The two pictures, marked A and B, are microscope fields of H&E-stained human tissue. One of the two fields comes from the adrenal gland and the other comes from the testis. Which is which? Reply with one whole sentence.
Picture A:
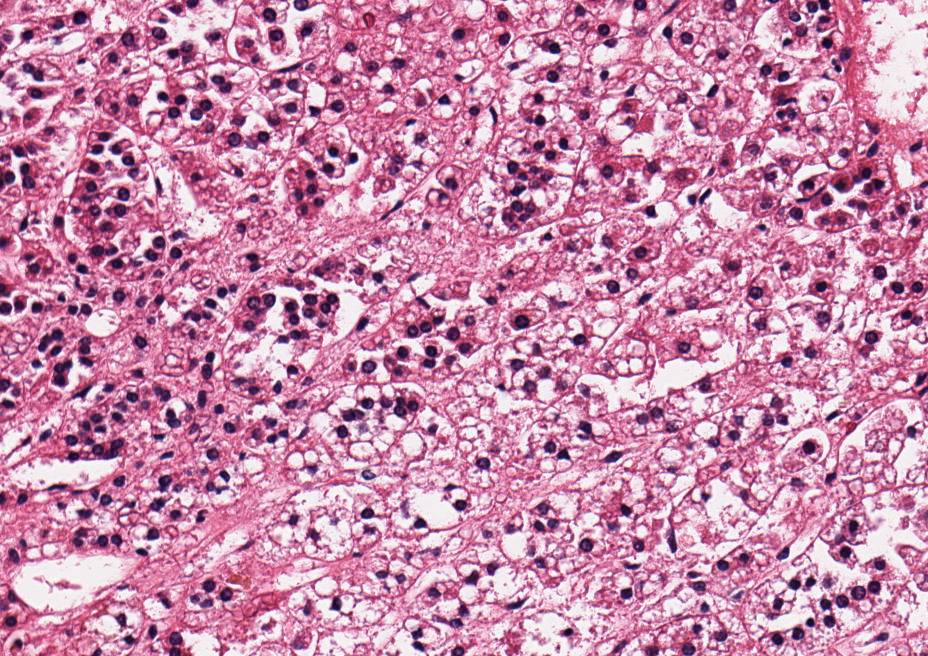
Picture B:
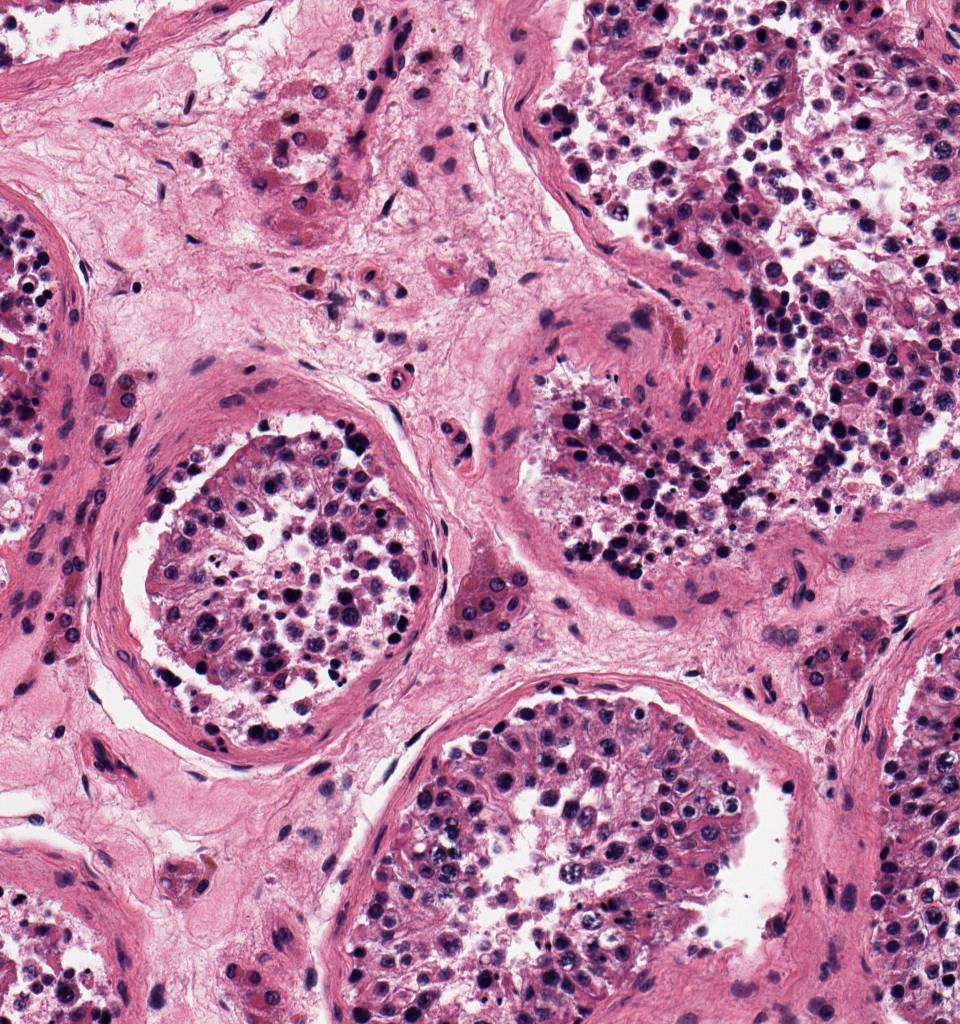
Picture A comes from the adrenal gland; picture B comes from the testis.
